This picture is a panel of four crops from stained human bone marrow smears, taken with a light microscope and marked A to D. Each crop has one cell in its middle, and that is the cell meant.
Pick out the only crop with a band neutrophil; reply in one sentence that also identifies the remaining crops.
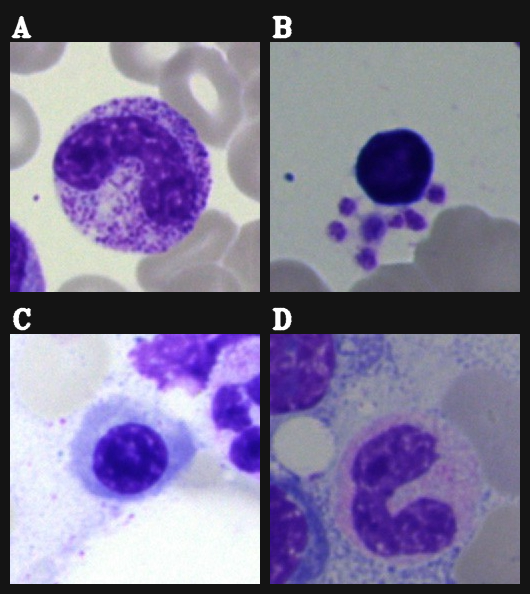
Summary: crop A shows a band neutrophil, while crop B is a lymphocyte, crop C is an erythroblast and crop D is a segmented neutrophil.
